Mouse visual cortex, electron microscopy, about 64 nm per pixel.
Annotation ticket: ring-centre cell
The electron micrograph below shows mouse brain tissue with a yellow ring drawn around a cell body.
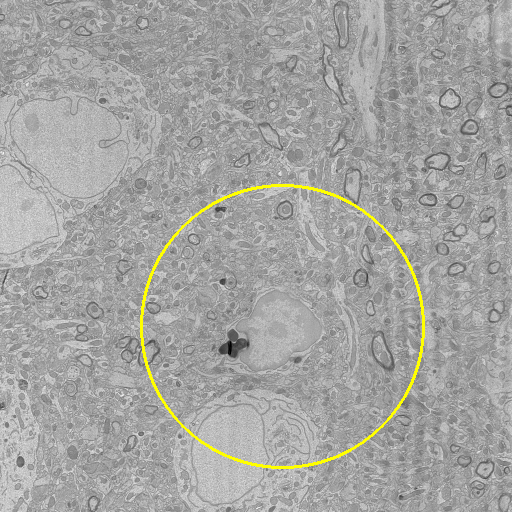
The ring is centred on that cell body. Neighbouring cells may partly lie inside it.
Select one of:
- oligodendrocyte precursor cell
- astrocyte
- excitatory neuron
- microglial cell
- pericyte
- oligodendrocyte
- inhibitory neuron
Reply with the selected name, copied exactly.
microglial cell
